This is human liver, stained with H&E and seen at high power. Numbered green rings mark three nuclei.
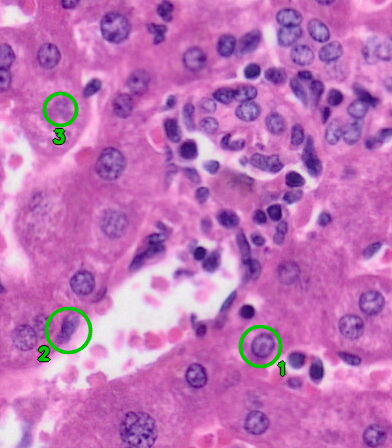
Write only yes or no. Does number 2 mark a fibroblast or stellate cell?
yes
